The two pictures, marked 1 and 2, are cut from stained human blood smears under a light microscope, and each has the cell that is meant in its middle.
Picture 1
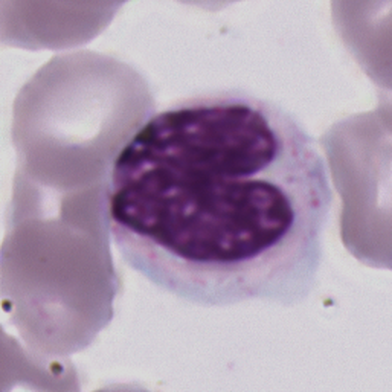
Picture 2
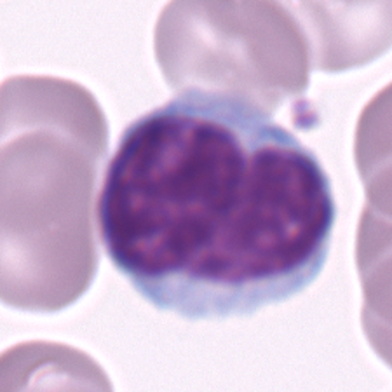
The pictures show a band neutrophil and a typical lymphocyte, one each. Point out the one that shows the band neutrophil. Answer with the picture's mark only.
1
